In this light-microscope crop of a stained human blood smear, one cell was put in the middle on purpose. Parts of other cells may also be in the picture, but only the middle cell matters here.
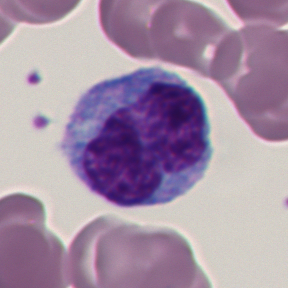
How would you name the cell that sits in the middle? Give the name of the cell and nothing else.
monocyte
